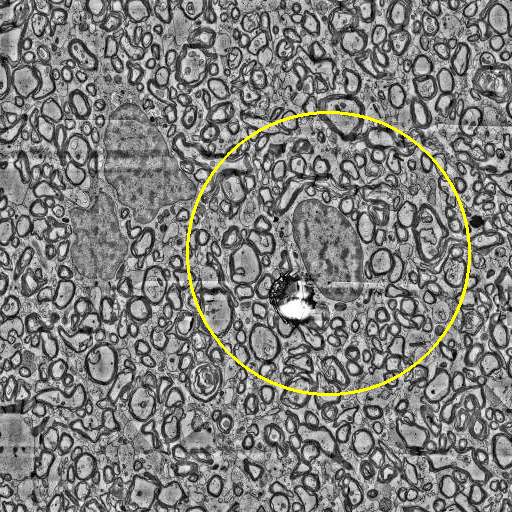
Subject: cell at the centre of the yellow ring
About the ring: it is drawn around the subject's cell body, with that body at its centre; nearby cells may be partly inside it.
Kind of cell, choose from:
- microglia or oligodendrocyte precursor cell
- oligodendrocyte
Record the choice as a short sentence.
The subject cell is a microglial cell or oligodendrocyte precursor cell.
